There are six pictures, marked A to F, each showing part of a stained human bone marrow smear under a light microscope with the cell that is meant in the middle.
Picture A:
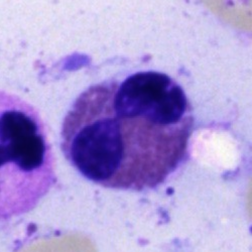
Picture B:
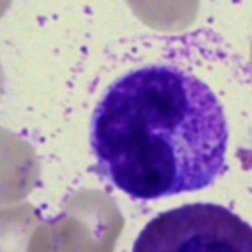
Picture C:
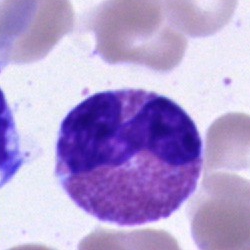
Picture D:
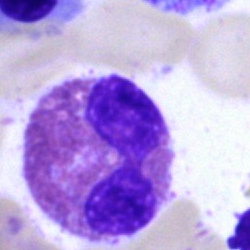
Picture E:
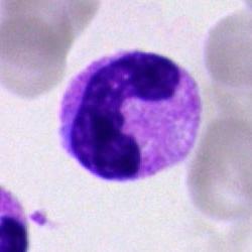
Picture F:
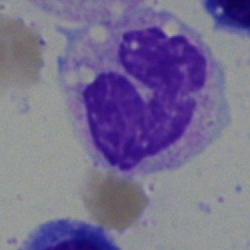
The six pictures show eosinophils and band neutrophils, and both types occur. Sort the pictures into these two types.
A: eosinophil
B: band neutrophil
C: eosinophil
D: eosinophil
E: band neutrophil
F: band neutrophil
